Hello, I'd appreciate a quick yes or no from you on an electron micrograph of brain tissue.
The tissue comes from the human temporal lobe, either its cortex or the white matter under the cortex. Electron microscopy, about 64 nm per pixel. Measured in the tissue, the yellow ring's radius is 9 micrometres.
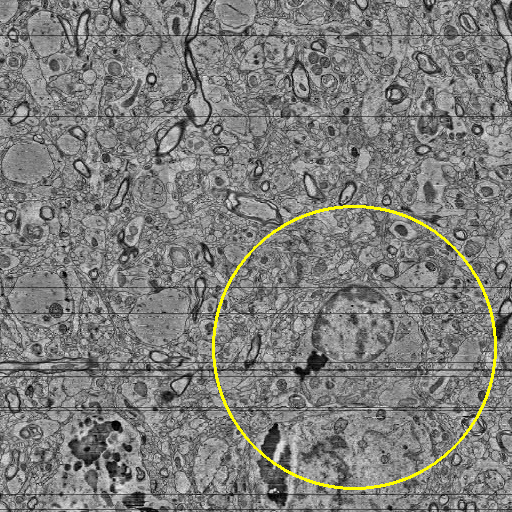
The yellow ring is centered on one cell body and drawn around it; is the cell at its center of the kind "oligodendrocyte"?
yes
